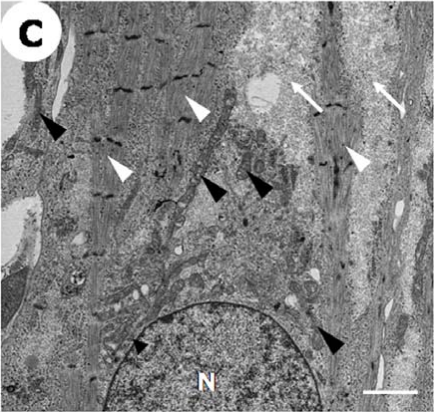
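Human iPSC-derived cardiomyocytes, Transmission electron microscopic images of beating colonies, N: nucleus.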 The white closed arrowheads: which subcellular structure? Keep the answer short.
Myofibrils with Z-bands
